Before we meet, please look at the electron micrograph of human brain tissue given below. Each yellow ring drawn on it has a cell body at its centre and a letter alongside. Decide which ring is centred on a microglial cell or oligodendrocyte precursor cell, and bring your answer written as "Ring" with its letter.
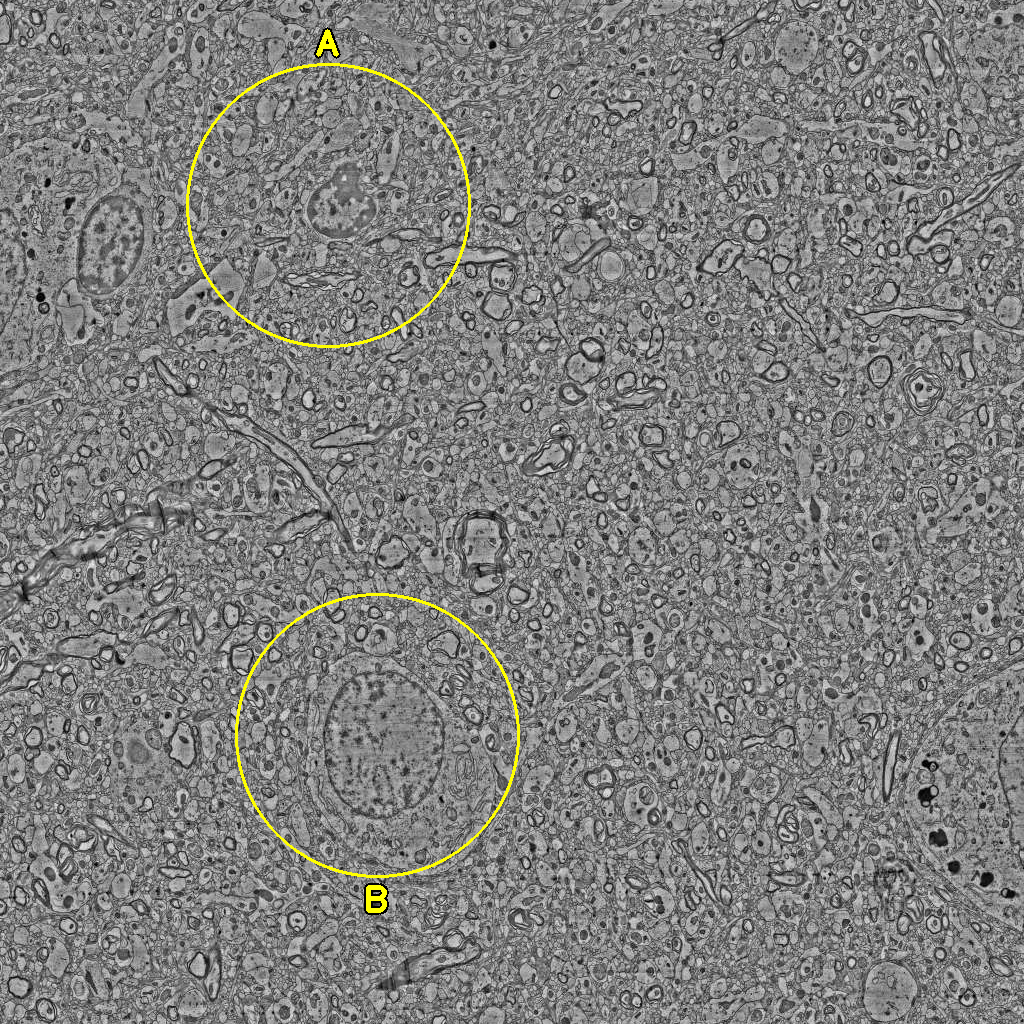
Ring A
